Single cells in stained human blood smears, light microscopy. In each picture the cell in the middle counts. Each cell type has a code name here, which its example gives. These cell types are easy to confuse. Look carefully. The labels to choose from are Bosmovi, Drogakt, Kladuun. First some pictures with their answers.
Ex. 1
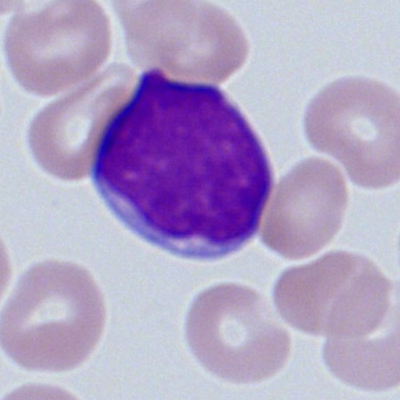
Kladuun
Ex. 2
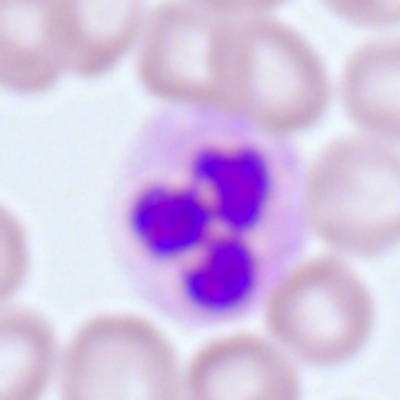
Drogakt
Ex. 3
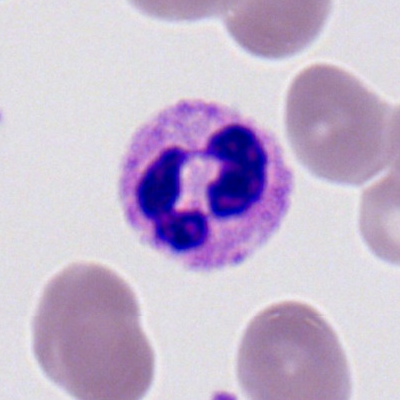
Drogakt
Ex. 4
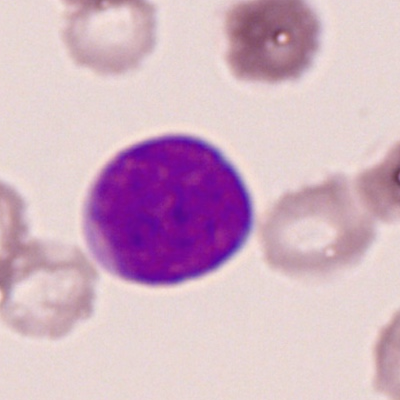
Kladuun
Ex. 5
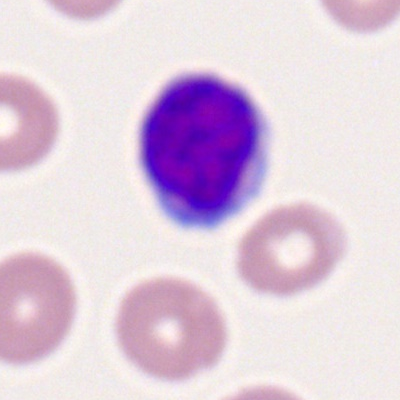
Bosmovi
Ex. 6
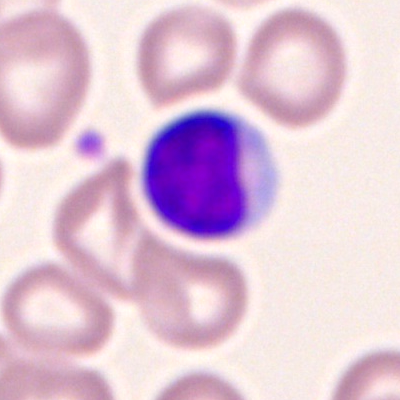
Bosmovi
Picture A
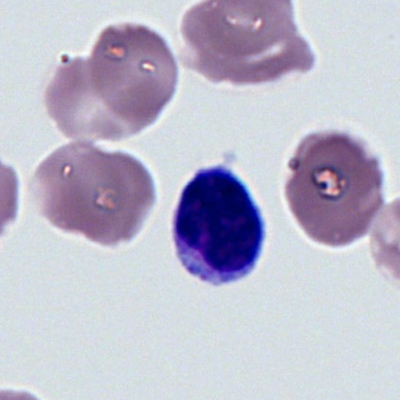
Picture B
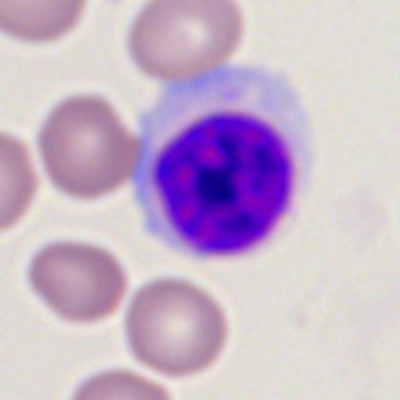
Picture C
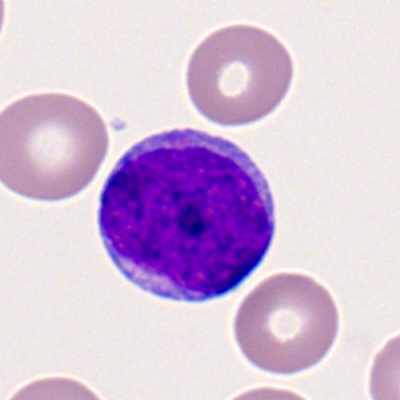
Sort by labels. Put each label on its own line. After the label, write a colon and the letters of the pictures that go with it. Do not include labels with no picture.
Bosmovi: A, B
Kladuun: C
